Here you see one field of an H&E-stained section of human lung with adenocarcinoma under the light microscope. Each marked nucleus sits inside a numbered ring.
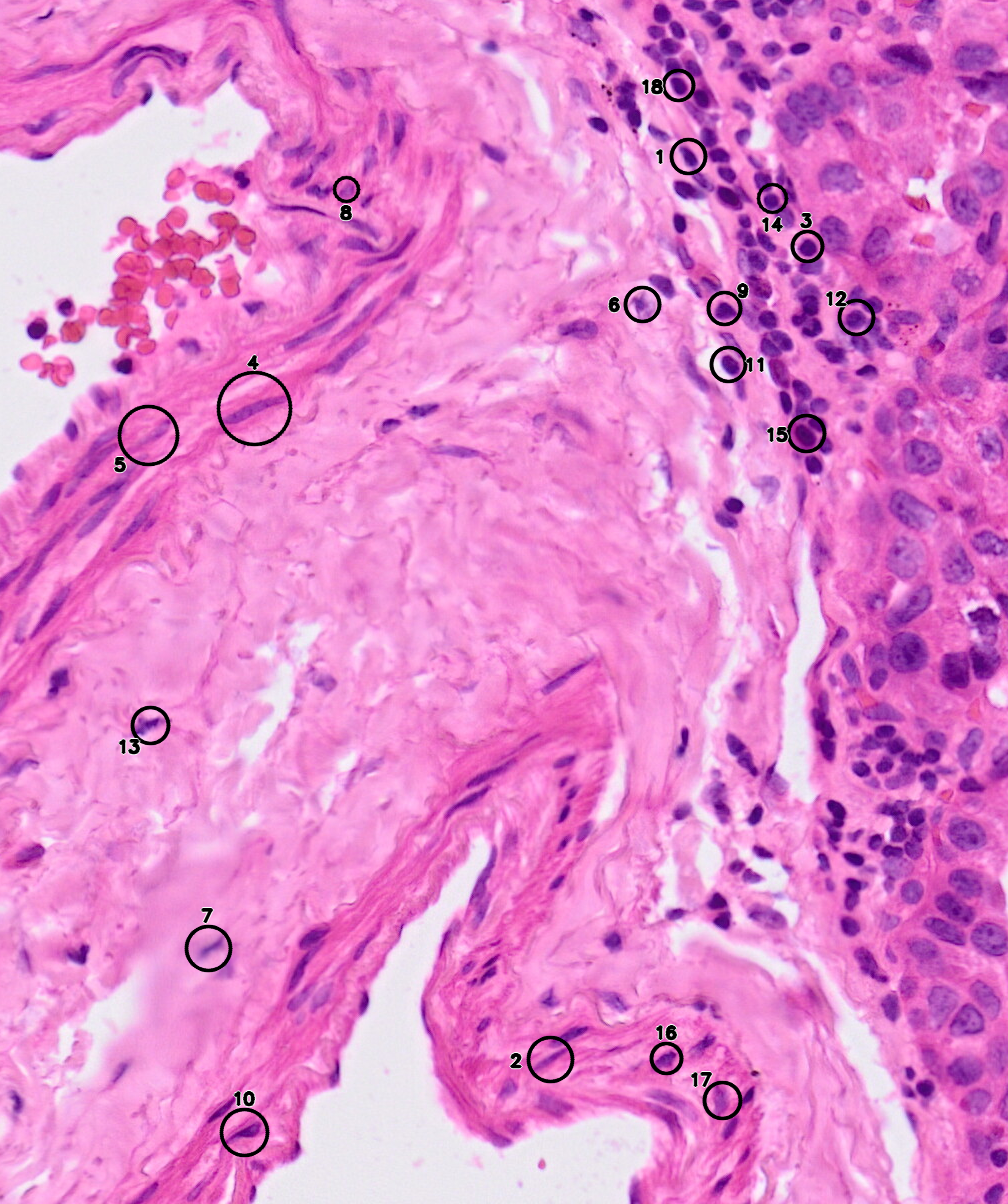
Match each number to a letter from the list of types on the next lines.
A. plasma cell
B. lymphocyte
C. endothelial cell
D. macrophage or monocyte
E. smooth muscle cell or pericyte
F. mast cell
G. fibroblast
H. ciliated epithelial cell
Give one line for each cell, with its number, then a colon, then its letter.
1: B
2: E
3: B
4: E
5: E
6: G
7: G
8: E
9: B
10: E
11: B
12: B
13: G
14: B
15: A
16: E
17: E
18: B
